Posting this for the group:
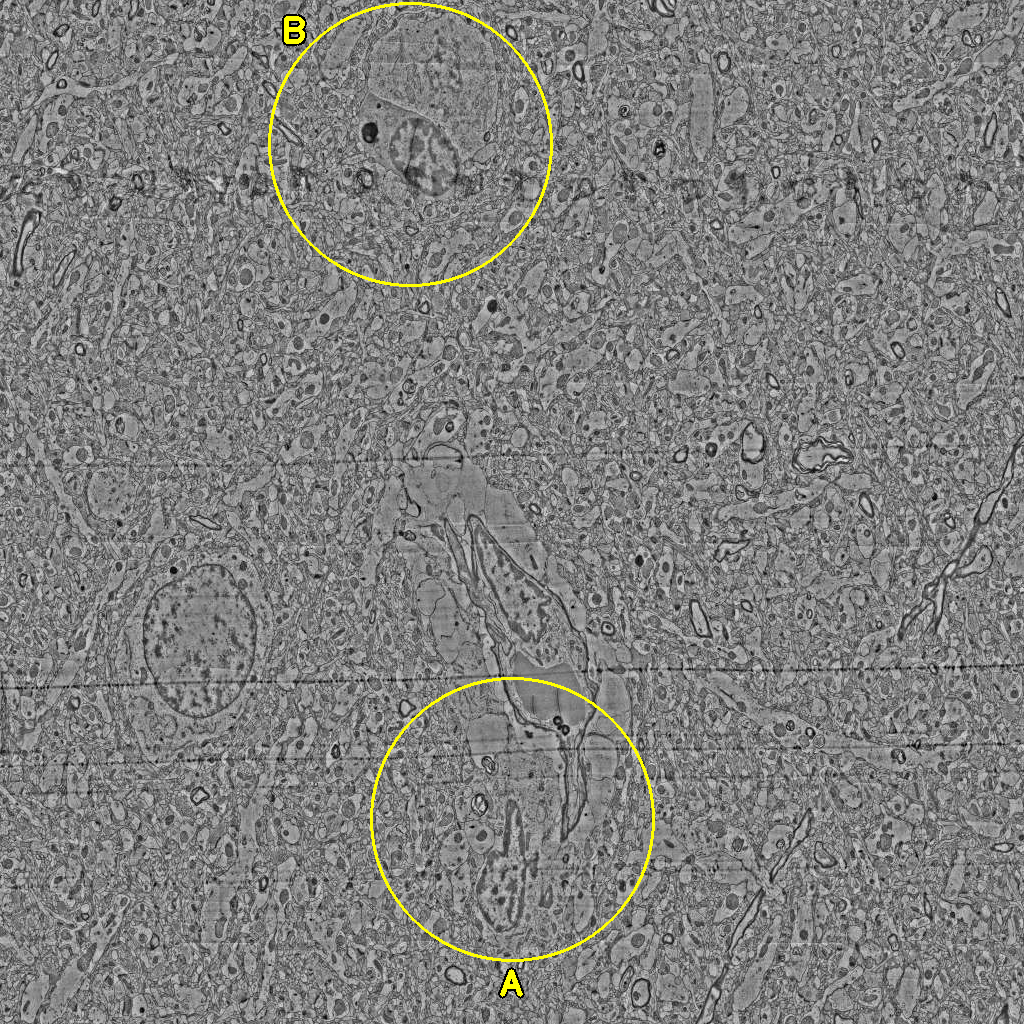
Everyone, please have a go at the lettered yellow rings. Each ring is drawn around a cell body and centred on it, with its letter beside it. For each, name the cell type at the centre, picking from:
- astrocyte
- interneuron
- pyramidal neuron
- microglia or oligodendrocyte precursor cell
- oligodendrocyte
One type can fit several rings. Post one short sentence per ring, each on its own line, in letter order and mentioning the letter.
My call for ring A is a microglial cell or oligodendrocyte precursor cell.
My call for ring B is an oligodendrocyte.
